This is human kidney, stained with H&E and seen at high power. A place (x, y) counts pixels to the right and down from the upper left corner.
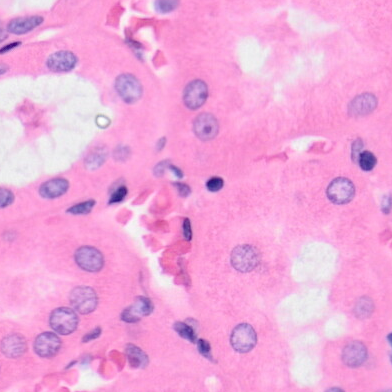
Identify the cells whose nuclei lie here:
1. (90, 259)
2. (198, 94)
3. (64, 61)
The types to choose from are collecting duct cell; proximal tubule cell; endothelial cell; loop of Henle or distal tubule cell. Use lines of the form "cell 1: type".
cell 1: proximal tubule cell
cell 2: proximal tubule cell
cell 3: loop of Henle or distal tubule cell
